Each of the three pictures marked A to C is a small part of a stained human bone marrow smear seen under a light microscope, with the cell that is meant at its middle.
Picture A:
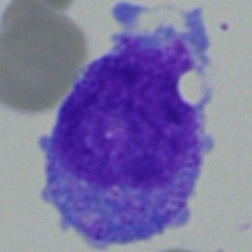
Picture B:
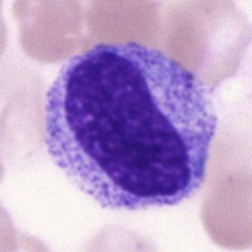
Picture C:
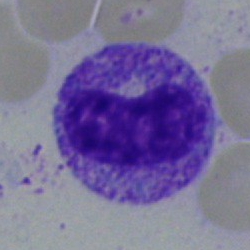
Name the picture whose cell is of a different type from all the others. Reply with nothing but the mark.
A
